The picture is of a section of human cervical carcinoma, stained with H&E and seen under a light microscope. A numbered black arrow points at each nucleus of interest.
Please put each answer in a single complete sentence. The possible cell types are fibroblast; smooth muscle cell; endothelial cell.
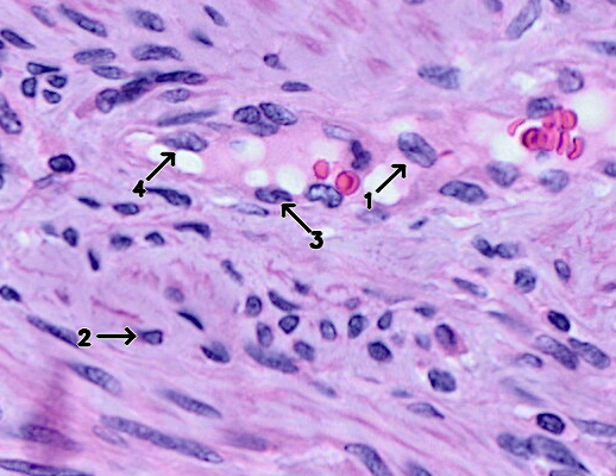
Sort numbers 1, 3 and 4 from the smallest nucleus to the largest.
The order from the smallest nucleus to the largest is 3, 4, 1.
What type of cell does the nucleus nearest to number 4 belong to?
Closest to number 4 lies the nucleus of a fibroblast.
